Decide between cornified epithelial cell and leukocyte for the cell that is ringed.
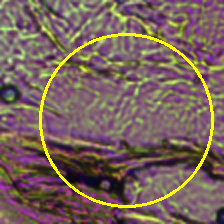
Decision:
I take the ringed cell for a cornified epithelial cell.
